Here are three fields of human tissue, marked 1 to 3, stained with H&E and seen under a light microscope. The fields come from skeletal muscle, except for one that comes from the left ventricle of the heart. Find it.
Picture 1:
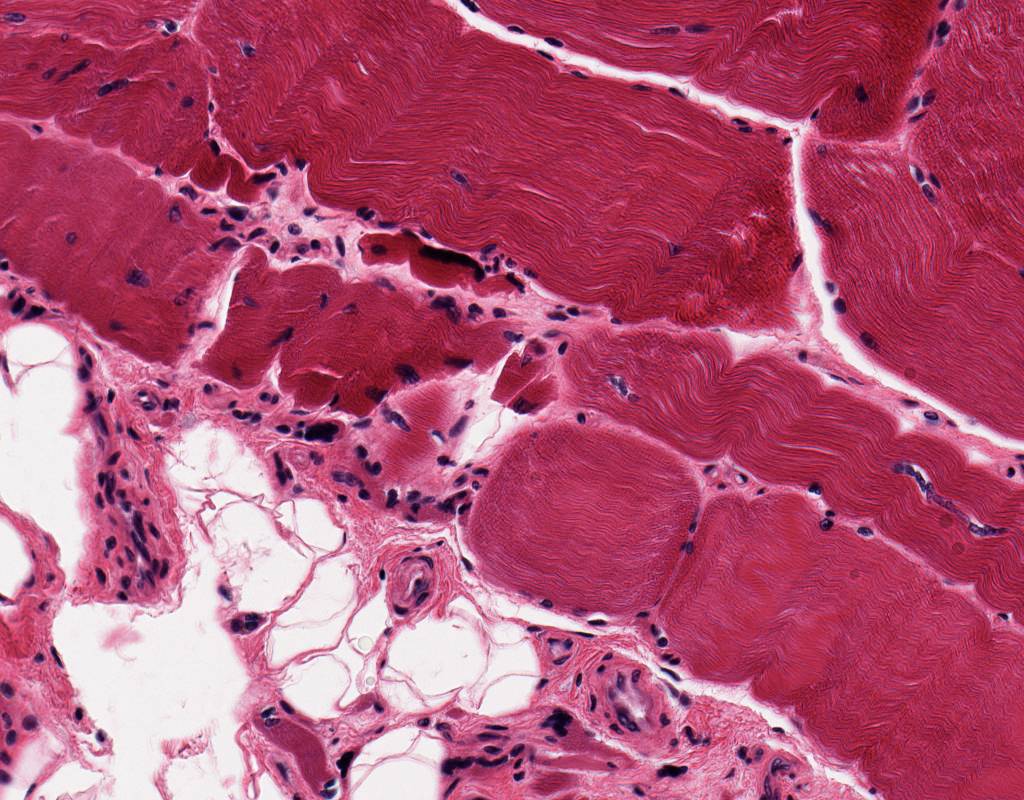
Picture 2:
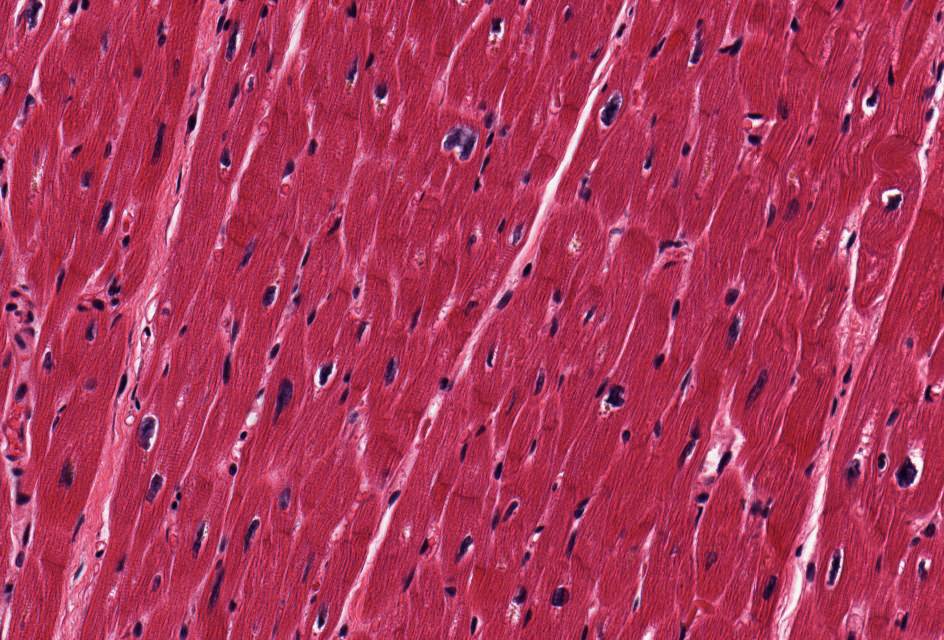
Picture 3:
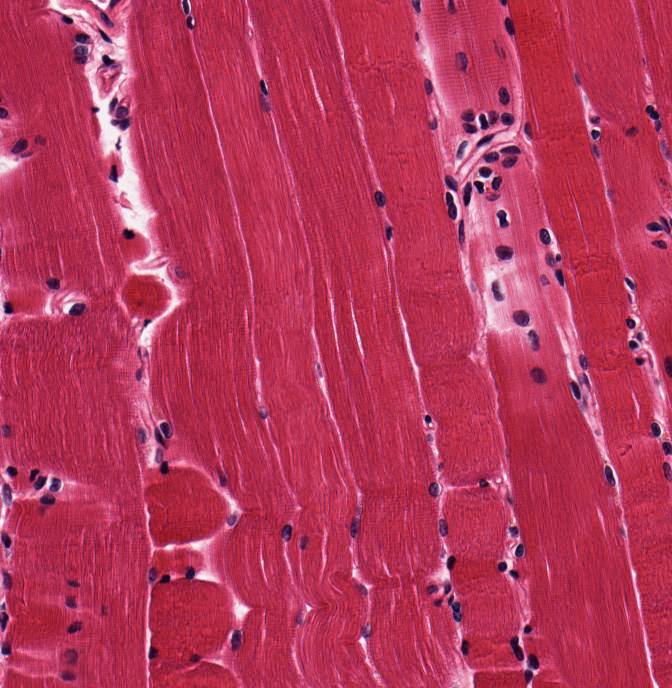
2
